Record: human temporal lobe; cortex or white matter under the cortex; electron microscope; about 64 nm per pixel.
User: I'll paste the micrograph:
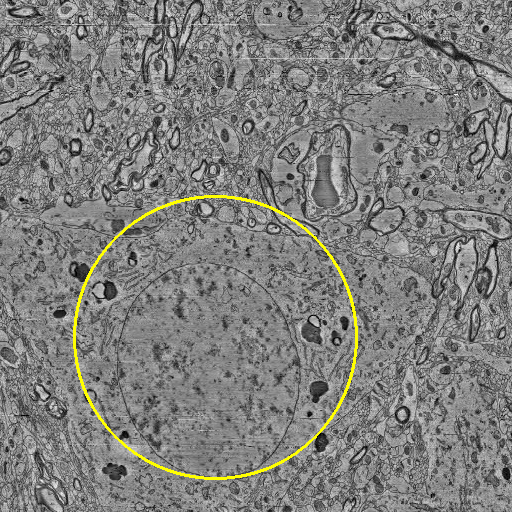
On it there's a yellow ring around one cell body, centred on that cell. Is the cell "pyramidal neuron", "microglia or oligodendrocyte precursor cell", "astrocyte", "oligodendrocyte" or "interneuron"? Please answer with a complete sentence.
The cell ringed in yellow is a pyramidal neuron.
